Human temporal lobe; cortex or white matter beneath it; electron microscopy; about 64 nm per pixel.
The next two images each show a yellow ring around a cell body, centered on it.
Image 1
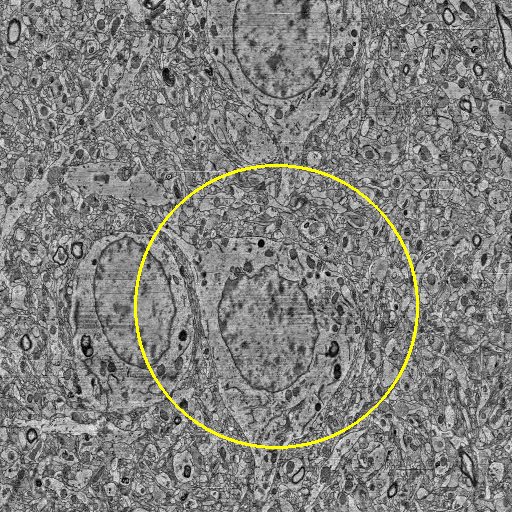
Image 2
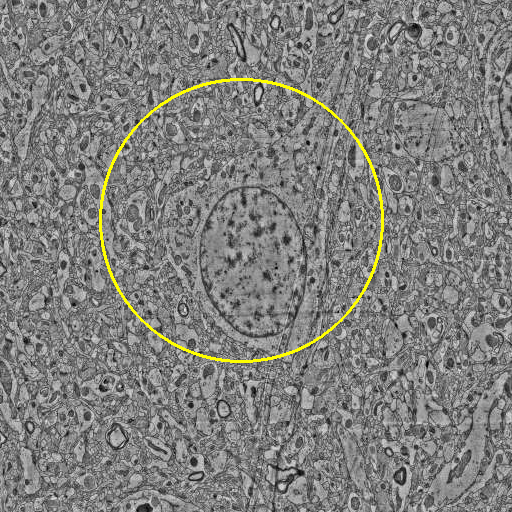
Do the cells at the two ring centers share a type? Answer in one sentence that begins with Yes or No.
Yes, across the two images the cells at the ring centers share one type.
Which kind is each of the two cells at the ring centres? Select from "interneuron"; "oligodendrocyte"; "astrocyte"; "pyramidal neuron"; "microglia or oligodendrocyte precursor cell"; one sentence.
Both pictures show a pyramidal neuron at the centre of the ring.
